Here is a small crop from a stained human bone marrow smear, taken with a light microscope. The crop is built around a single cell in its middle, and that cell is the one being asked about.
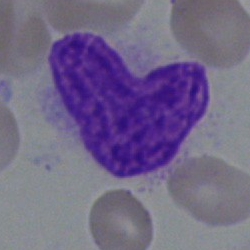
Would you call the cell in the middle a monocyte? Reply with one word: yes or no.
yes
